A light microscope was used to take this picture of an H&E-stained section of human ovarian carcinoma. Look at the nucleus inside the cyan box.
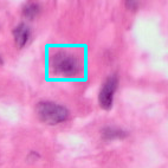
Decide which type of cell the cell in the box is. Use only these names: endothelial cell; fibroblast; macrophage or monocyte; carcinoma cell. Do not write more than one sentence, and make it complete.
Labelled by cell type, the cell in the box is a fibroblast.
